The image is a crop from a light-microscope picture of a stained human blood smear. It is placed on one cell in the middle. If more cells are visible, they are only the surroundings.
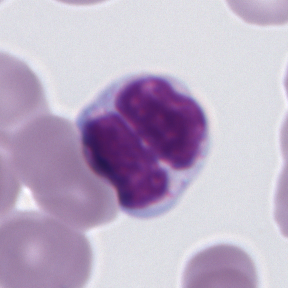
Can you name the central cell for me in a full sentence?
In short, the cell at the center is a large granular lymphocyte.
